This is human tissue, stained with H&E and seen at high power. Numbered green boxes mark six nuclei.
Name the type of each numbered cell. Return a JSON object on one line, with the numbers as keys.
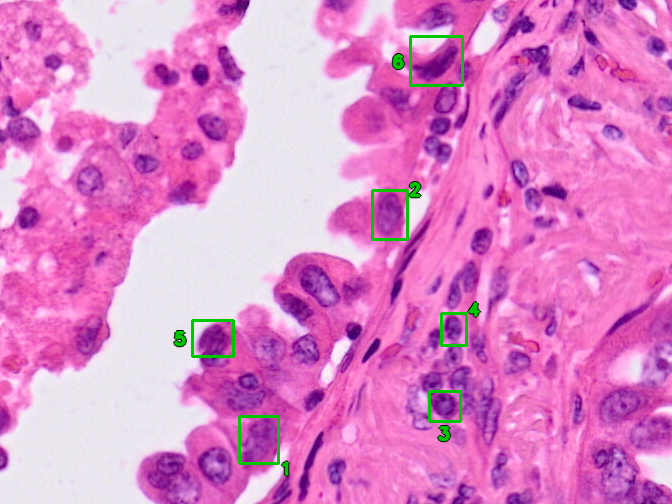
{"1": "carcinoma cell", "2": "carcinoma cell", "3": "plasma cell", "4": "lymphocyte", "5": "carcinoma cell", "6": "carcinoma cell"}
